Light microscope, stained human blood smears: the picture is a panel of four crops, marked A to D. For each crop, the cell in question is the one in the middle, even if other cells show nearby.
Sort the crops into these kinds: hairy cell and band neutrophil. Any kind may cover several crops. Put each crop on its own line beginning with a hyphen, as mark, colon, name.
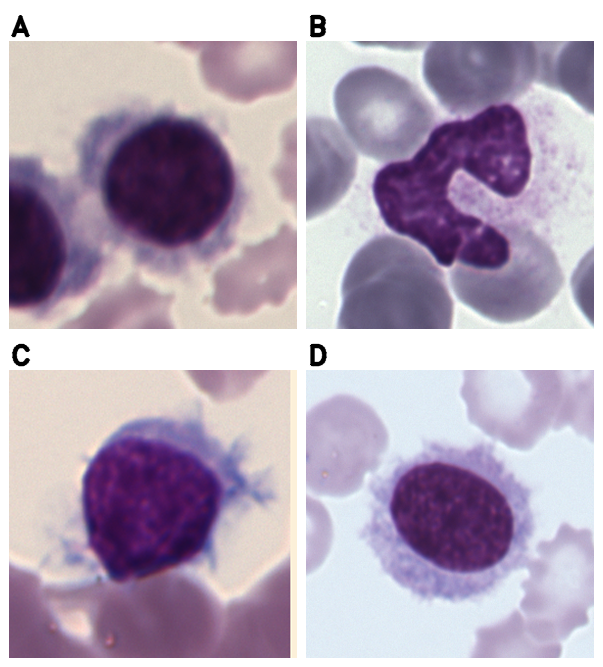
- A: hairy cell
- B: band neutrophil
- C: hairy cell
- D: hairy cell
